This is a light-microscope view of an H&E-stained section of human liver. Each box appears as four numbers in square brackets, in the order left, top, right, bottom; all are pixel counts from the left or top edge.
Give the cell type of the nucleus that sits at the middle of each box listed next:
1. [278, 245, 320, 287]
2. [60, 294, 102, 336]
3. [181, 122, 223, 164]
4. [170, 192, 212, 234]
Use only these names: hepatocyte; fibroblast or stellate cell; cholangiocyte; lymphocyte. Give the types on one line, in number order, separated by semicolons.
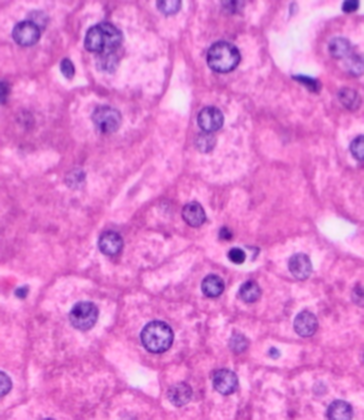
hepatocyte; hepatocyte; cholangiocyte; hepatocyte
